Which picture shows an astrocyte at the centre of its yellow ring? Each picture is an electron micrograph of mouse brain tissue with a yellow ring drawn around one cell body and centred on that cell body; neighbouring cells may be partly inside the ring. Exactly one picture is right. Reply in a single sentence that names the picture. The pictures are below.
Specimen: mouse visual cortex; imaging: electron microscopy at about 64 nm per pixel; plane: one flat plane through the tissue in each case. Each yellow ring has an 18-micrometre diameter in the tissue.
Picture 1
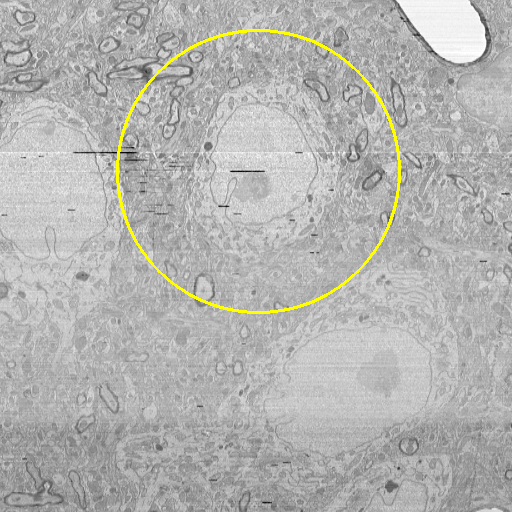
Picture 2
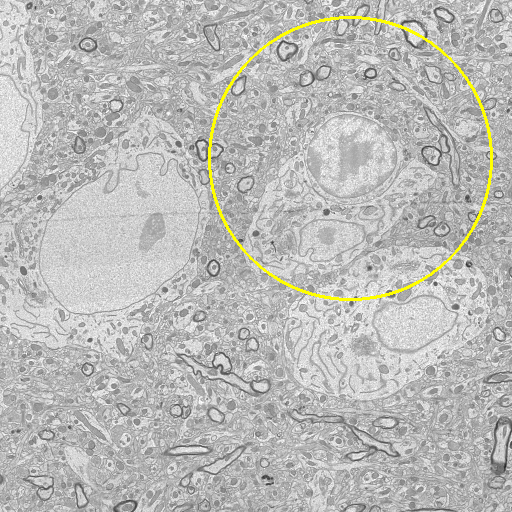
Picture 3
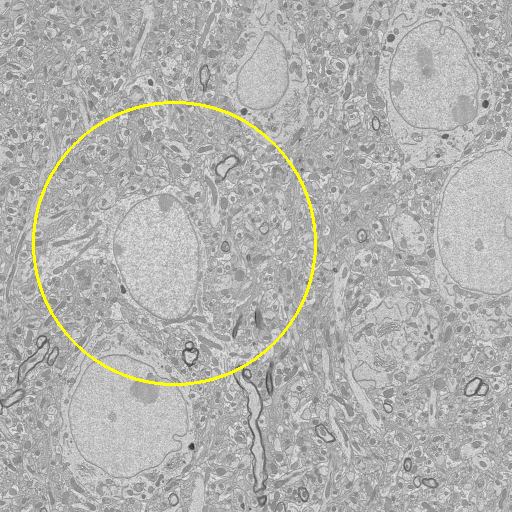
Picture 3 shows it.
